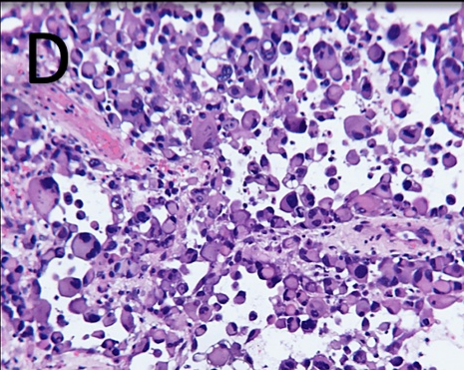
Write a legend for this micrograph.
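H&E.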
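Large tumour cells lie loosely apart from one another in clear spaces, with little cohesion between neighbours. The cells are rounded to polygonal and vary in size, some being markedly enlarged. They have abundant dense pink-purple cytoplasm, and many nuclei are pushed to one side of the cell. The nuclei are dark and irregular. Thin strands of pink fibrous stroma with small vessels run between groups of the loose cells.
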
